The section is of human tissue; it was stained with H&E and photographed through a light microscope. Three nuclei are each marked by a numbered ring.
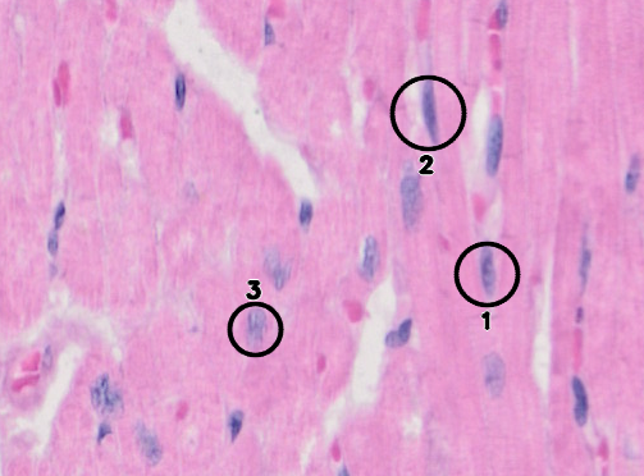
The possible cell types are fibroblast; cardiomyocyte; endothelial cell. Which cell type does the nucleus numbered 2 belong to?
endothelial cell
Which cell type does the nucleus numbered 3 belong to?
cardiomyocyte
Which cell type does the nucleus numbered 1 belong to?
fibroblast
